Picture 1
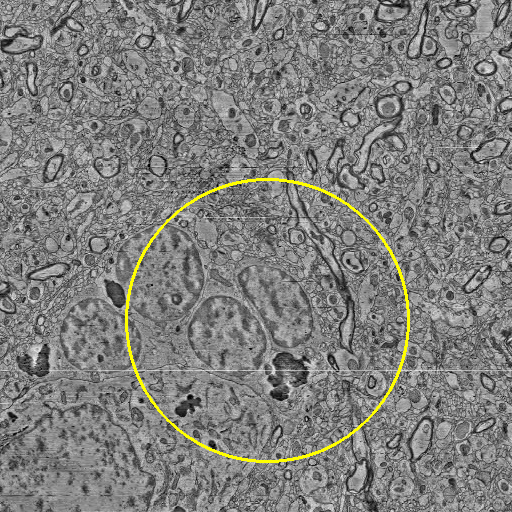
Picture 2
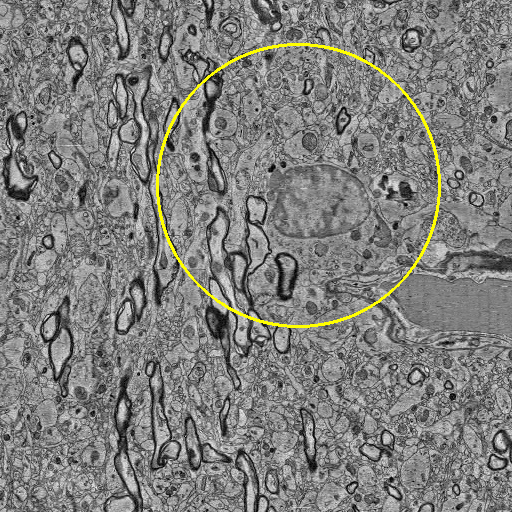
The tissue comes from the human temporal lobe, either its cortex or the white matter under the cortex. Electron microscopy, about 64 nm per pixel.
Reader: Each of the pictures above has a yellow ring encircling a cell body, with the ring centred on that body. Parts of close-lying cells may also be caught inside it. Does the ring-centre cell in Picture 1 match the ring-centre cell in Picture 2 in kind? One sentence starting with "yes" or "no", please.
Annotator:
Yes, Picture 1 and Picture 2 show ring-centre cells of a single kind.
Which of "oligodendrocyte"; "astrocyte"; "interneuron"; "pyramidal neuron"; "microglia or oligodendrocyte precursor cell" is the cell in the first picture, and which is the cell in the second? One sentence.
Each of the ringed cells, first and second, is an oligodendrocyte.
